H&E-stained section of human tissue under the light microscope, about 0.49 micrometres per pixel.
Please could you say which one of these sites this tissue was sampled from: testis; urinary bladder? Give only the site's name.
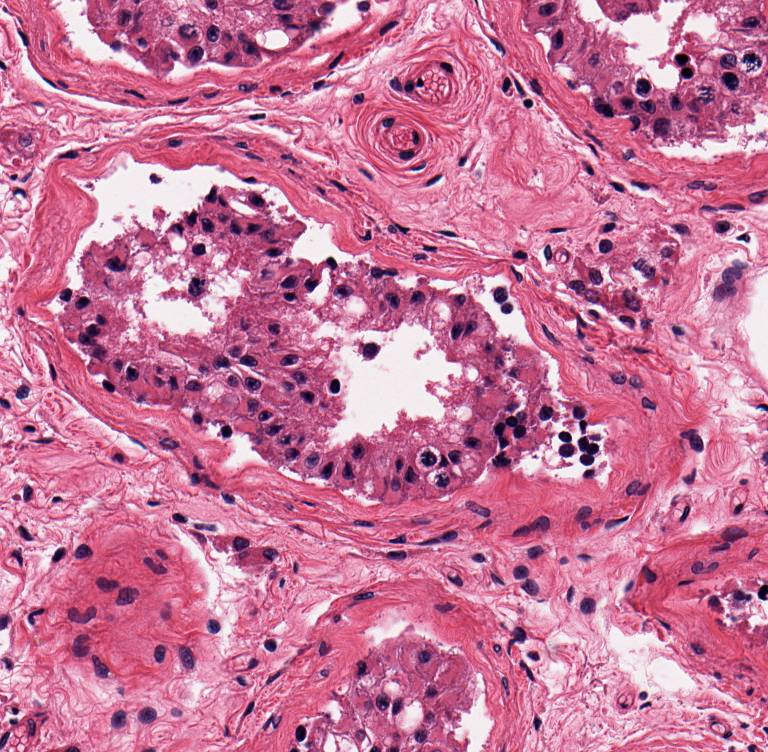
testis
